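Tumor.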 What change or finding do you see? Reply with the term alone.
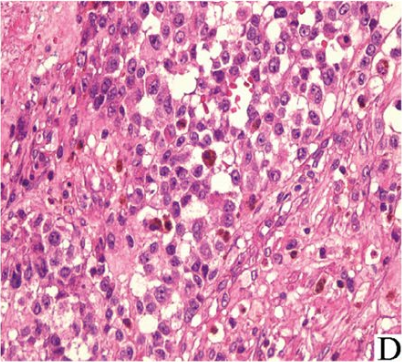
intracytoplasmic pigments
